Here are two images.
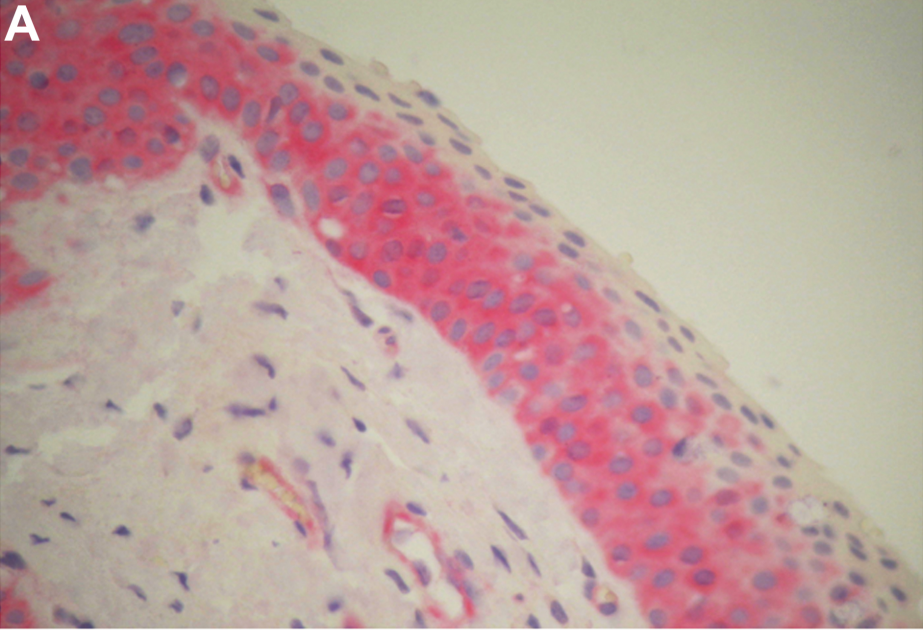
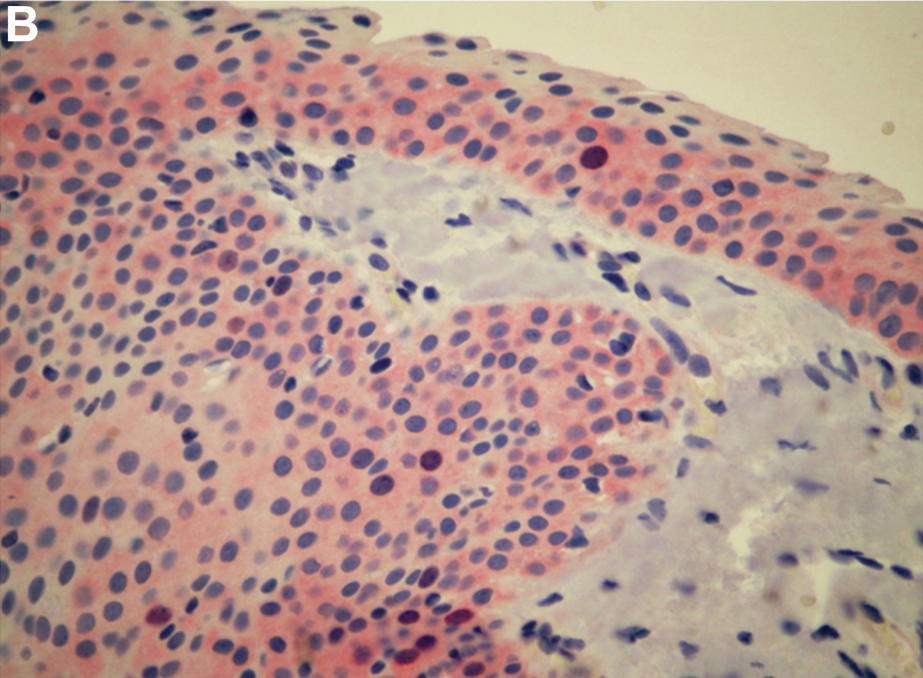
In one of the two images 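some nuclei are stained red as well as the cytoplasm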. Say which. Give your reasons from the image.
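Second image: several nuclei are dark red-purple among blue nuclei, with pale red cytoplasm. First image: all nuclei are blue-grey and only the cytoplasm is red. On this evidence: the second image.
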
